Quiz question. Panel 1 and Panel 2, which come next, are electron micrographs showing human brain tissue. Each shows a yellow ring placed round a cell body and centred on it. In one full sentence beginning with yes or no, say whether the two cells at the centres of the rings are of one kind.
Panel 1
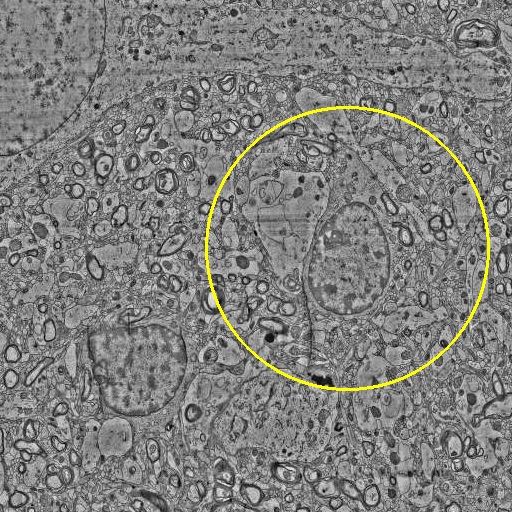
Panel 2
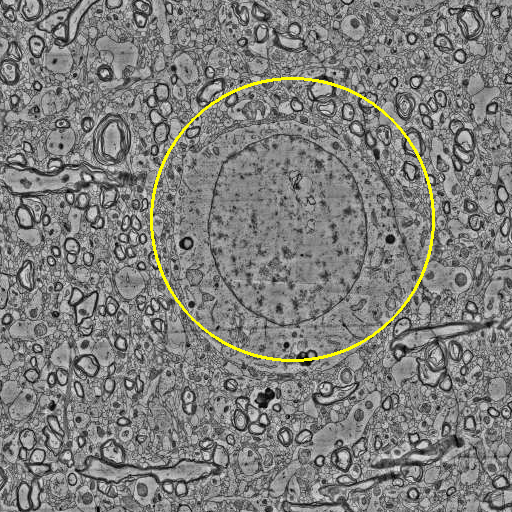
No, Panel 1 and Panel 2 show two kinds of cell at the centre of the ring.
